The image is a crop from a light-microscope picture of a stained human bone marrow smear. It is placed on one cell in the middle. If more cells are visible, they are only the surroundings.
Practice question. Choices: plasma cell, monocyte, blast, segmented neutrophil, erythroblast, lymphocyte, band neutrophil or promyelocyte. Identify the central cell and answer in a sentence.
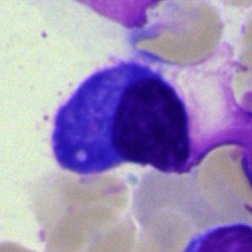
The middle cell in this particular crop is a plasma cell.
